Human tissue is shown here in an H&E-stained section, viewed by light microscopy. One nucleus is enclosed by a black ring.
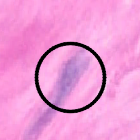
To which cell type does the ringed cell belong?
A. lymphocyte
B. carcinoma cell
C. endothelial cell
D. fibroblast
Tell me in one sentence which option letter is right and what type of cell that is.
The accurate option is D, with the ringed cell being a fibroblast.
